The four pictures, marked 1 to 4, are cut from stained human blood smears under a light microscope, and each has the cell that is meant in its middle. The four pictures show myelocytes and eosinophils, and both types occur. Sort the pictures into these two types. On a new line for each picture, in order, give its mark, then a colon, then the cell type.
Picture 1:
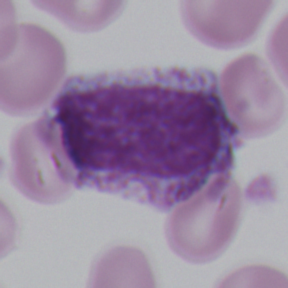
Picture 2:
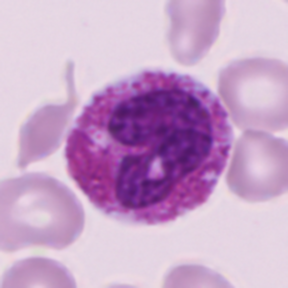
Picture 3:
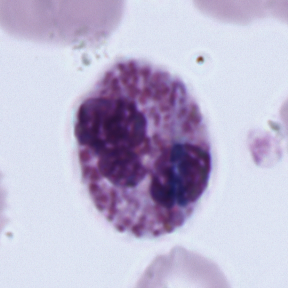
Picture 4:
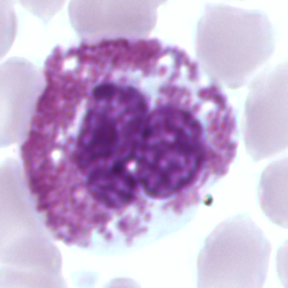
1: myelocyte
2: eosinophil
3: eosinophil
4: eosinophil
